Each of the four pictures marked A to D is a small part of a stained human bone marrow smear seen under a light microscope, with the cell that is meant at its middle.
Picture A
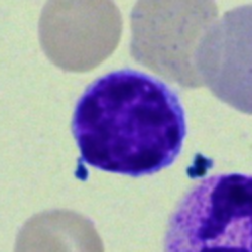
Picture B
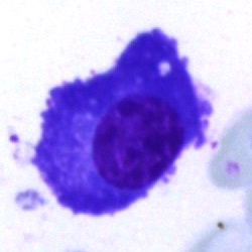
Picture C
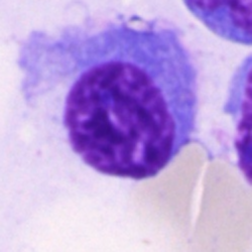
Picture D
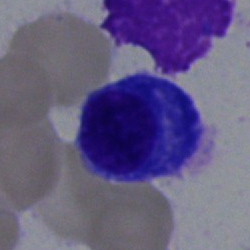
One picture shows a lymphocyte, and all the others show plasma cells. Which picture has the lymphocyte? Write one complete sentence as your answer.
Picture A is the one that shows the lymphocyte.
